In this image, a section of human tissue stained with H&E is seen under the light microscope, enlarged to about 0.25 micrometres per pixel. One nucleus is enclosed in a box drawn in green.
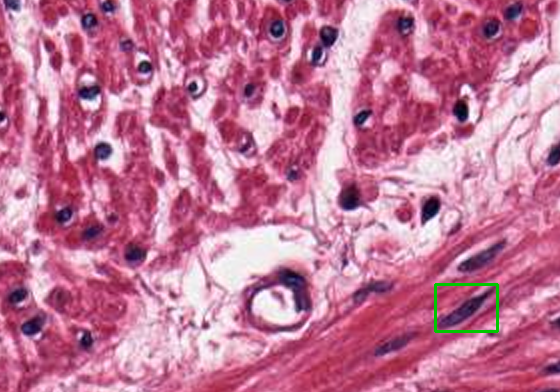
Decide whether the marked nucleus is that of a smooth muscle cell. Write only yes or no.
yes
